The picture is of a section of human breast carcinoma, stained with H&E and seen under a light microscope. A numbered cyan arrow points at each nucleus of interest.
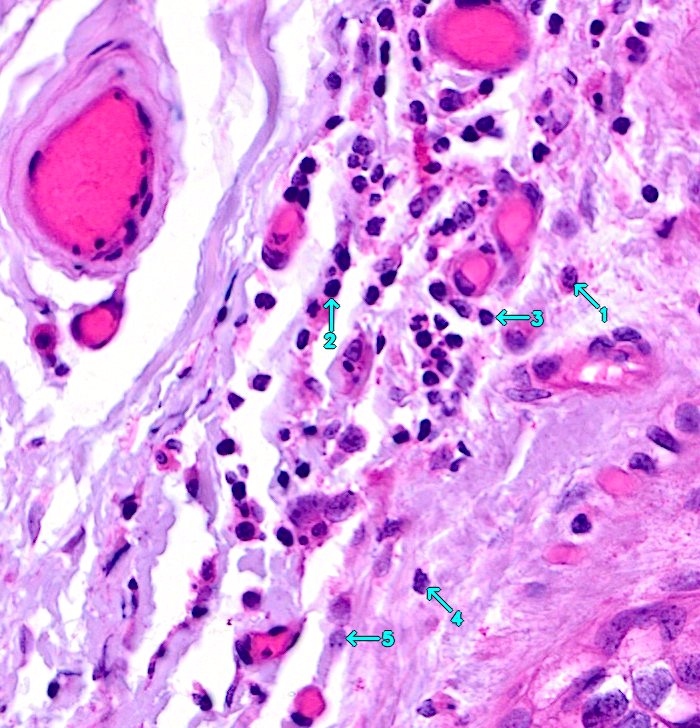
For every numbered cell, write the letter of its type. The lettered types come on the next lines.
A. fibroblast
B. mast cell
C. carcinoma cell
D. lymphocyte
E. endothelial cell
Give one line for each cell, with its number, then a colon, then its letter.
1: B
2: D
3: D
4: D
5: A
